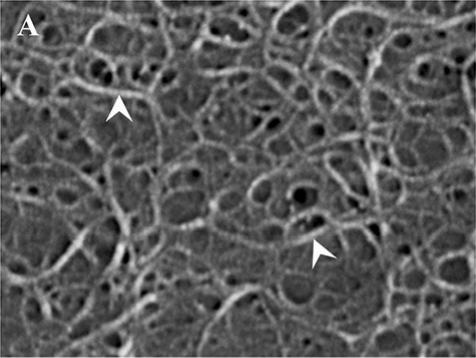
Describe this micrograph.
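Notice how they do not run in parallel: they curve, bend and loop over one another, making a loose, tangled meshwork. Between the threads lie many rounded dark pores and smoother grey areas of matrix. There is no single dominant direction to the fibrils; the texture is irregular and swirling across the whole field.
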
